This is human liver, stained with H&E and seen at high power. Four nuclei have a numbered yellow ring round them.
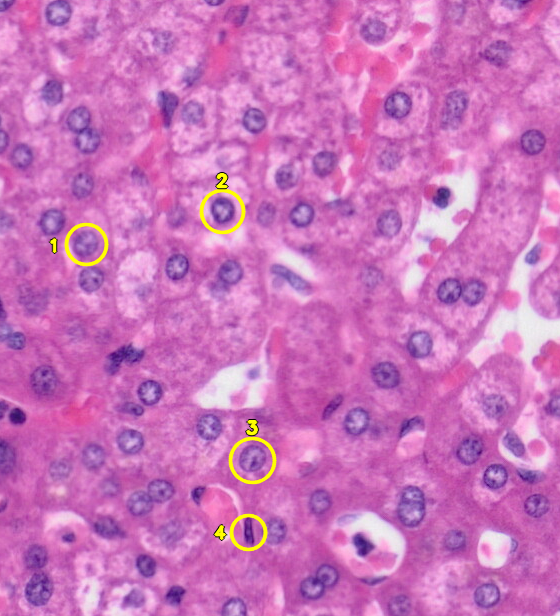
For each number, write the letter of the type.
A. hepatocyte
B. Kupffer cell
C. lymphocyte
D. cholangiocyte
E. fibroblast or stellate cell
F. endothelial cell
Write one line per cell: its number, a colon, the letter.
1: A
2: A
3: A
4: E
